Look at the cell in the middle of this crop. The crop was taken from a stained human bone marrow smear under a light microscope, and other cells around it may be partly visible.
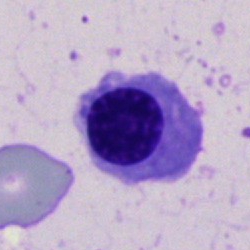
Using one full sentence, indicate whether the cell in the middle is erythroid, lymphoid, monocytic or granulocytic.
Within the erythroid lineage lies the cell at the center of the crop.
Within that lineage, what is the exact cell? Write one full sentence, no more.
For this crop, the cell in the middle is an erythroblast.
